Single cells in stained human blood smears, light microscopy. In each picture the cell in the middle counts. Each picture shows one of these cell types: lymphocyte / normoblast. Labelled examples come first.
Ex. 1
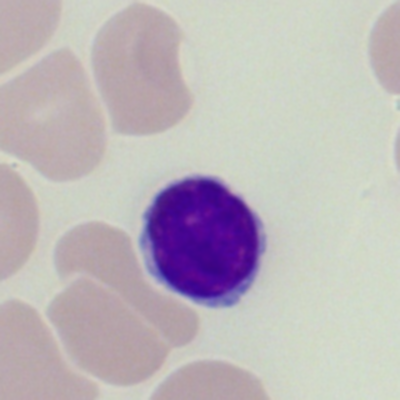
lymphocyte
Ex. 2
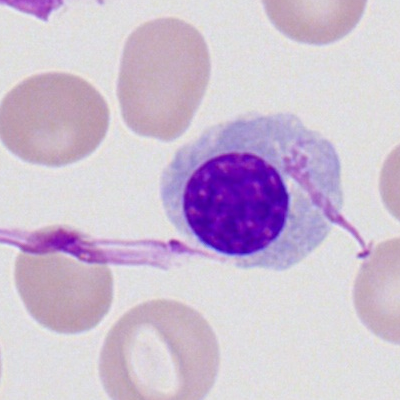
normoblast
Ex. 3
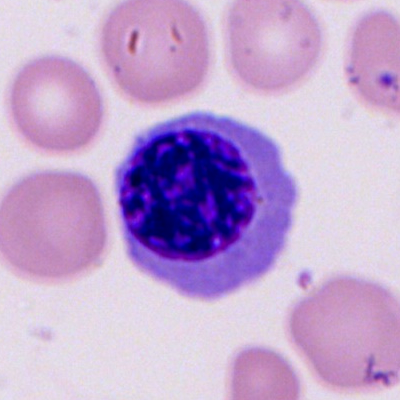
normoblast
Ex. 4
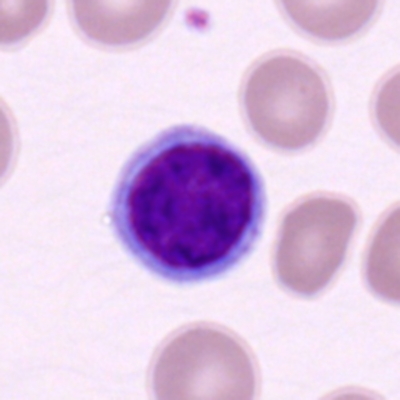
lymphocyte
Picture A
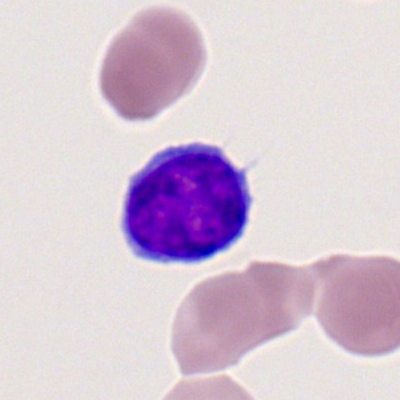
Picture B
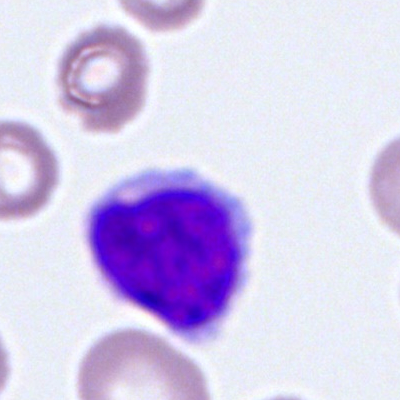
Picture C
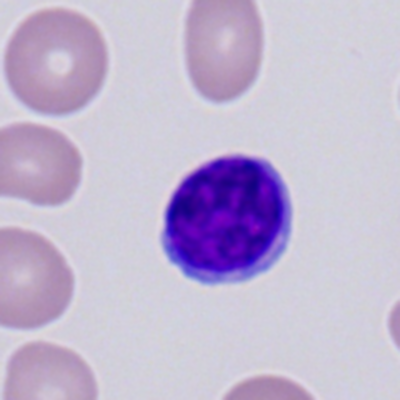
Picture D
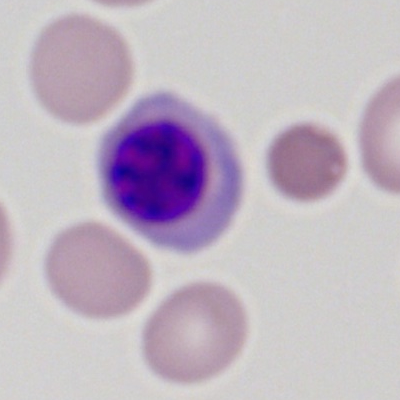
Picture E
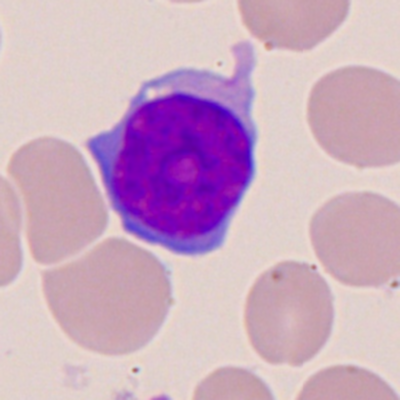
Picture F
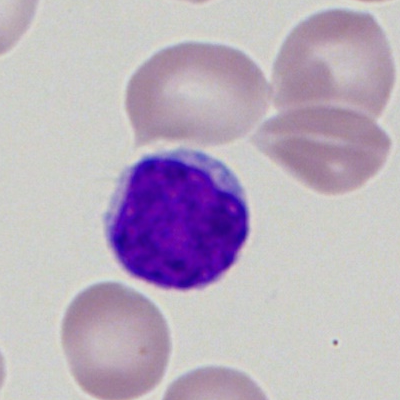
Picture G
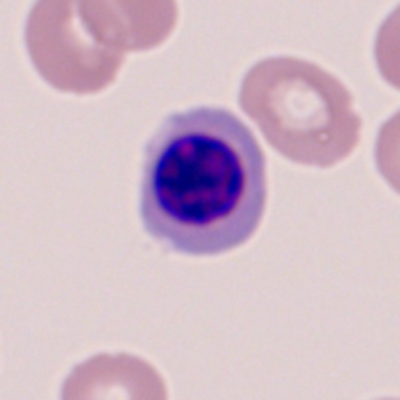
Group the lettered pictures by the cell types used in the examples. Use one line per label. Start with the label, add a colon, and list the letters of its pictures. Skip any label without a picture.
lymphocyte: A, B, C, E, F
normoblast: D, G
